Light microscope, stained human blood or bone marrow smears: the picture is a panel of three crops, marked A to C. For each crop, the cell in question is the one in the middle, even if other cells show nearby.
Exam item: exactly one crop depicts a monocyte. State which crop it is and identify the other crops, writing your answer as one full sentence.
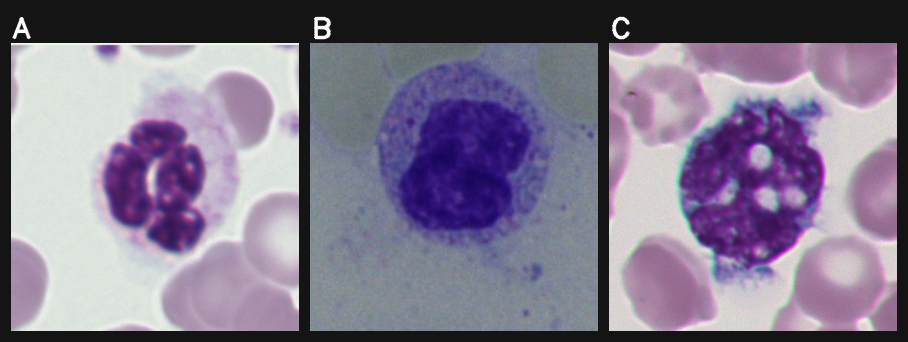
Crop C is where a monocyte is shown, whereas crop A is a segmented neutrophil and crop B is a metamyelocyte.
